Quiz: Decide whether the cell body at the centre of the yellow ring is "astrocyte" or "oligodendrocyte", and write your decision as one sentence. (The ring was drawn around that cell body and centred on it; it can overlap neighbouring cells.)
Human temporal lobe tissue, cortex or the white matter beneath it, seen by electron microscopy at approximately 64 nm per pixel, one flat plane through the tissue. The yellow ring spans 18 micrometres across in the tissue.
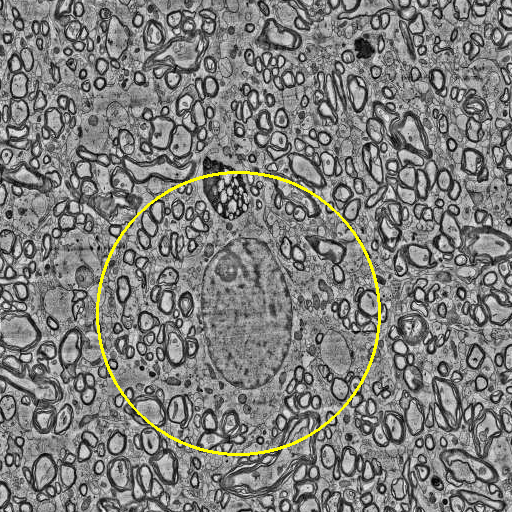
The cell the ring is centred on is an astrocyte.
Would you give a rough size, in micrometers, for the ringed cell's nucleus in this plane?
The nucleus is approximately 10 micrometres long but only about 6 wide, clearly longer than it is wide in this plane.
